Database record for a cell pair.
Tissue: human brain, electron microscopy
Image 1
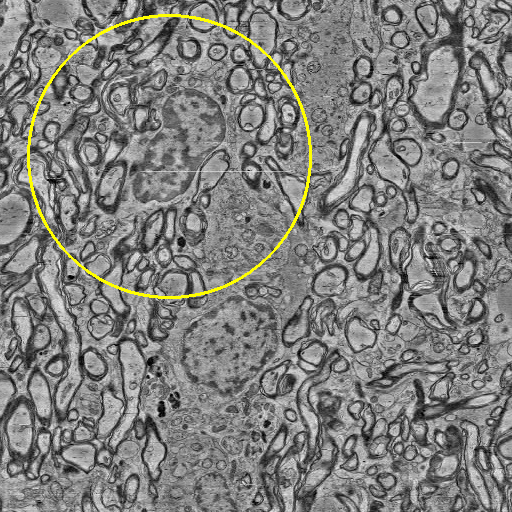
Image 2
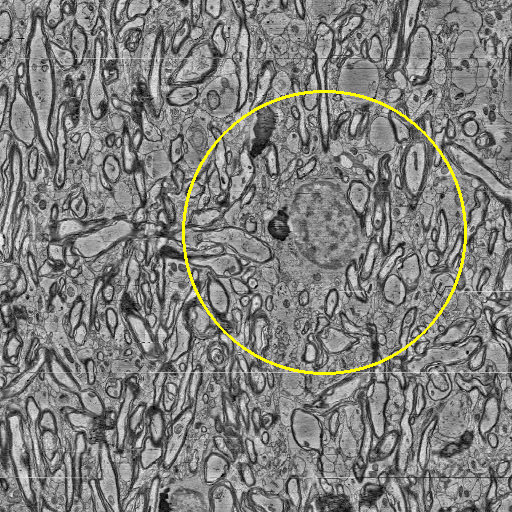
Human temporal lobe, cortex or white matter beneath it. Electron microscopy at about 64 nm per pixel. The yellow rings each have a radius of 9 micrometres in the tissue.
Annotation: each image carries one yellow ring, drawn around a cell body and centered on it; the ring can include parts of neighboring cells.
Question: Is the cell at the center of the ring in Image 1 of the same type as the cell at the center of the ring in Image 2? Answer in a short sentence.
No, the cells are of two types.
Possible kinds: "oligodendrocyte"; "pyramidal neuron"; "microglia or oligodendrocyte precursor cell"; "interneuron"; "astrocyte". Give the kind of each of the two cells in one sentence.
The cell in the second picture is an oligodendrocyte, and that in the first is a microglial cell or oligodendrocyte precursor cell.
